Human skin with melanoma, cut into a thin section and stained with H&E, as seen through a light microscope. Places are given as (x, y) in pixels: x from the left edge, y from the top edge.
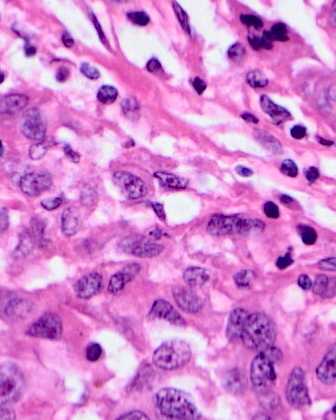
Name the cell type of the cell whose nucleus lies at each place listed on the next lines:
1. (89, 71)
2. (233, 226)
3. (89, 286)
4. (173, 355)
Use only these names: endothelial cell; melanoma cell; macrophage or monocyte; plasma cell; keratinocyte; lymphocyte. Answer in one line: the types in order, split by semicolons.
lymphocyte; melanoma cell; melanoma cell; melanoma cell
